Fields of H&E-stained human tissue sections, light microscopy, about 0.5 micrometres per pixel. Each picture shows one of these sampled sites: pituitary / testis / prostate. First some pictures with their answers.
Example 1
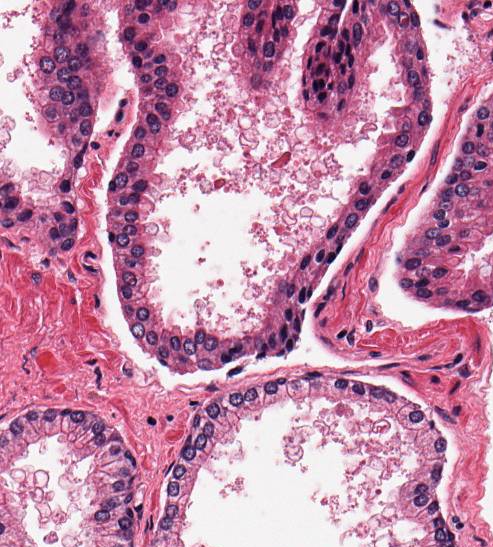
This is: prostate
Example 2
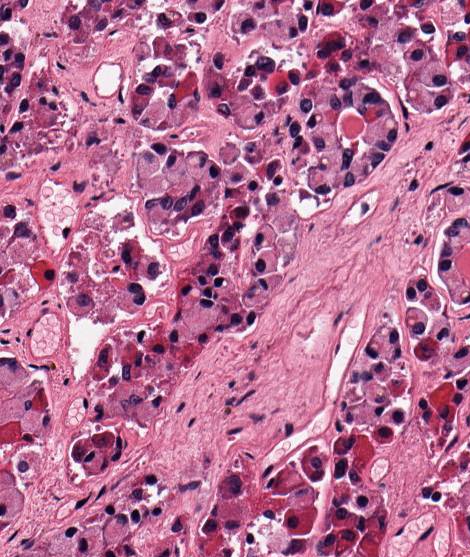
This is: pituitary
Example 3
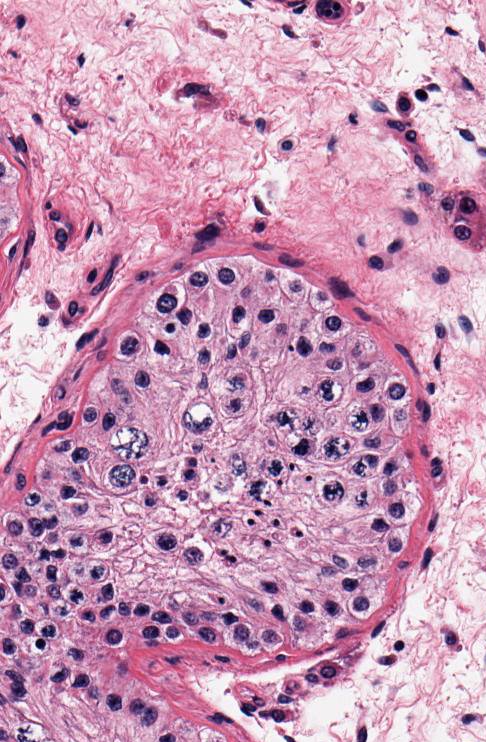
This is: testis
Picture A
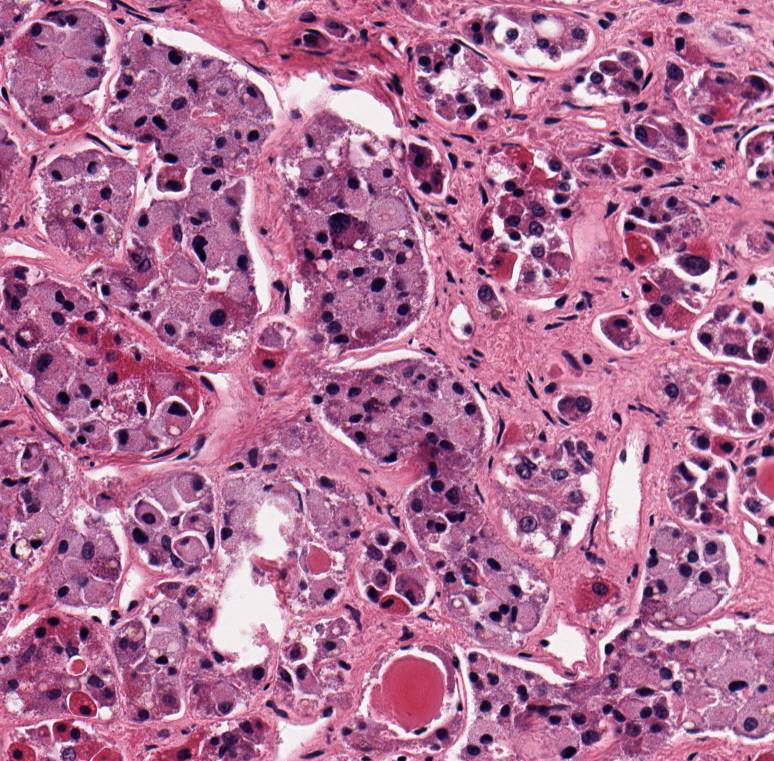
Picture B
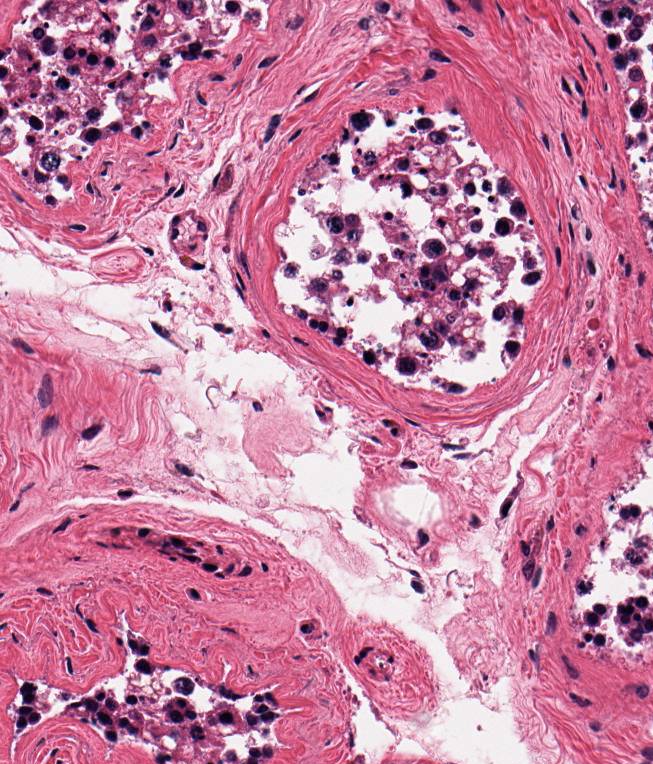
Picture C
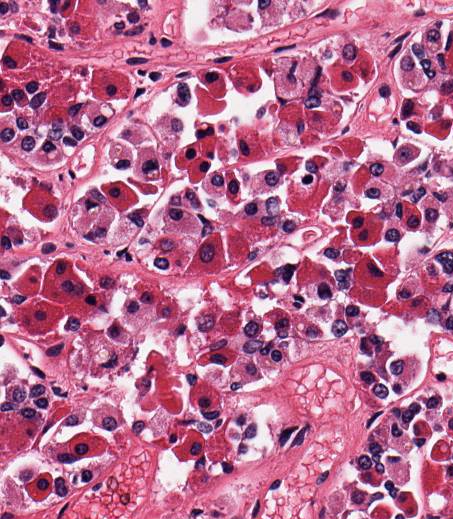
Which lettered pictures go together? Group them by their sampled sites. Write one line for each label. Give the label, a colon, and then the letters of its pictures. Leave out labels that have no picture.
pituitary: A, C
testis: B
